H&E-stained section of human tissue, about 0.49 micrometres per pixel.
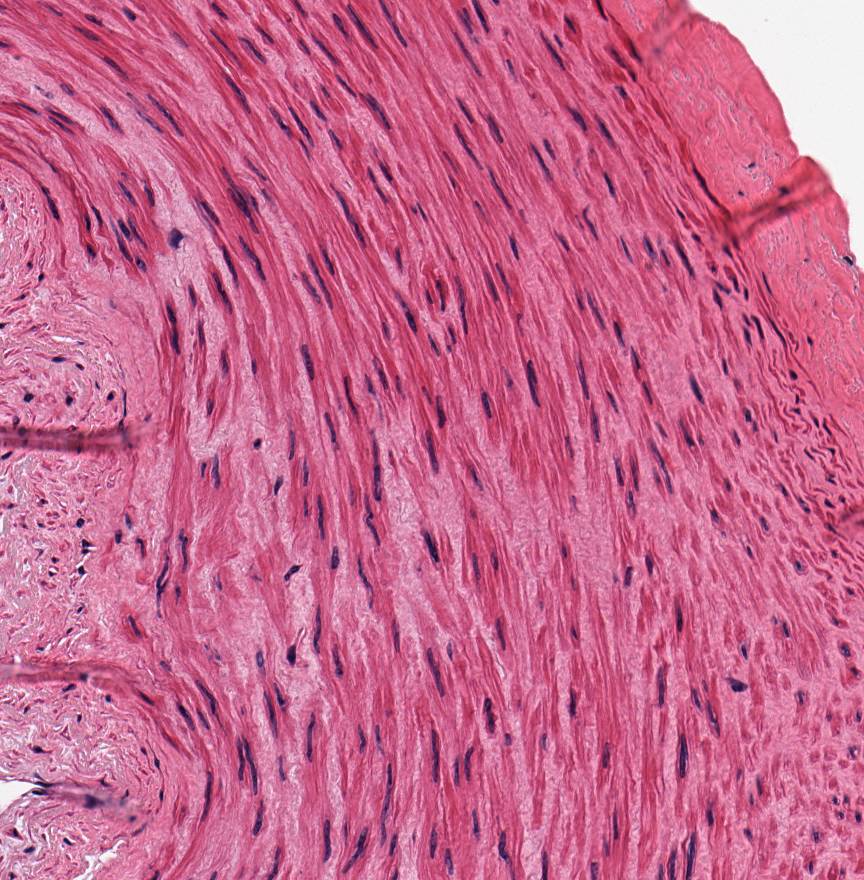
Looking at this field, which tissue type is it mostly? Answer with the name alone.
tunica media of an artery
